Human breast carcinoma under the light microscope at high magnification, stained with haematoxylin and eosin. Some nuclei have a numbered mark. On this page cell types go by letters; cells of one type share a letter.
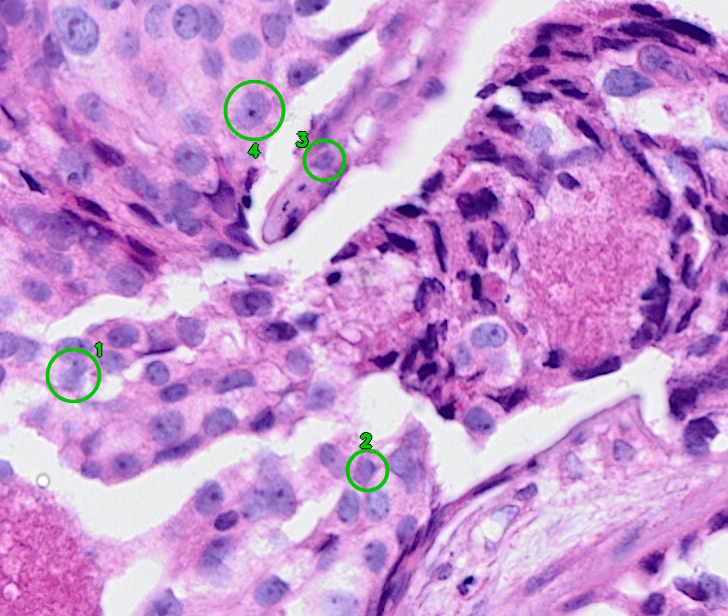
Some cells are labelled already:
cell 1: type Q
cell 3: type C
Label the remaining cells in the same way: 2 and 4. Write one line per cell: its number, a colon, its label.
2: type Q
4: type Q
